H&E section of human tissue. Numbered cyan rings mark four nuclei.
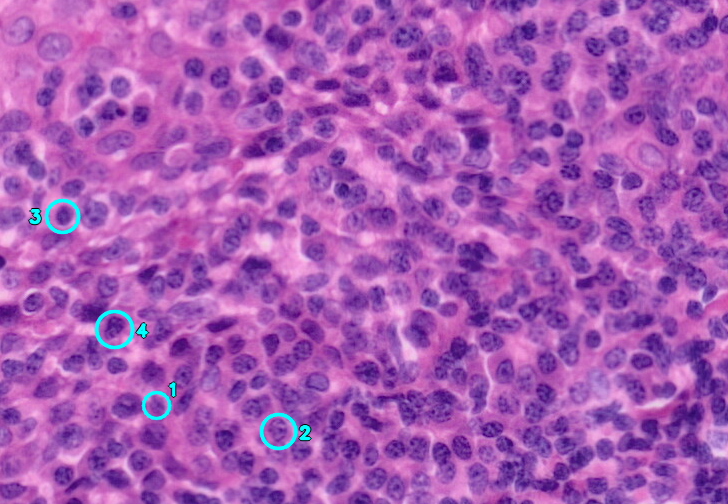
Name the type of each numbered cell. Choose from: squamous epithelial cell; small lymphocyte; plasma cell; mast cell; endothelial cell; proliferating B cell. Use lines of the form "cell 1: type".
cell 1: squamous epithelial cell
cell 2: plasma cell
cell 3: squamous epithelial cell
cell 4: plasma cell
